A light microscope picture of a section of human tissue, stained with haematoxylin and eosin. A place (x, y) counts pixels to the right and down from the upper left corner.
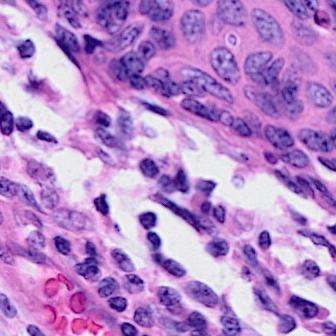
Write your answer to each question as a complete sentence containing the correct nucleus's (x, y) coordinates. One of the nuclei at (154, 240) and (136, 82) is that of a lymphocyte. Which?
Rather than the other nucleus, the one at (154, 240) belongs to a lymphocyte.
